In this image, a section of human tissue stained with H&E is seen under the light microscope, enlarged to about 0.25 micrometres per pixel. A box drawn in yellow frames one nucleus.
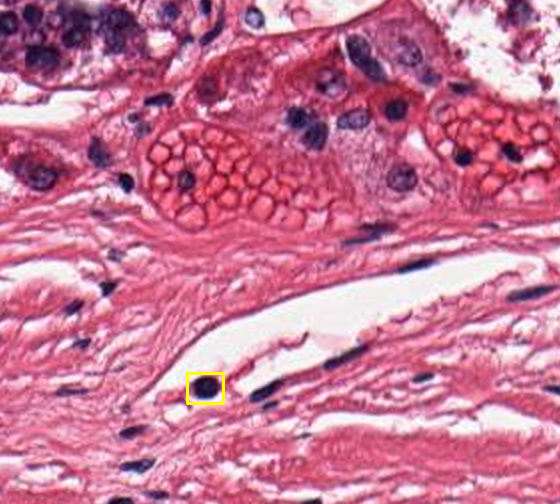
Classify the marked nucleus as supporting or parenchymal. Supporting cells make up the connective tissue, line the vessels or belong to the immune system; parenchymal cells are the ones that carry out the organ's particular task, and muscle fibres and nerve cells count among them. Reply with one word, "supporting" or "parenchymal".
supporting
